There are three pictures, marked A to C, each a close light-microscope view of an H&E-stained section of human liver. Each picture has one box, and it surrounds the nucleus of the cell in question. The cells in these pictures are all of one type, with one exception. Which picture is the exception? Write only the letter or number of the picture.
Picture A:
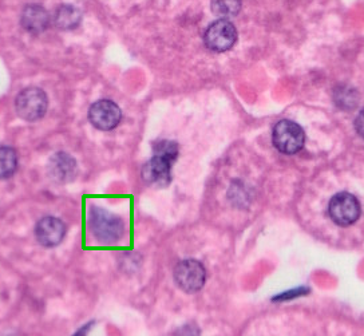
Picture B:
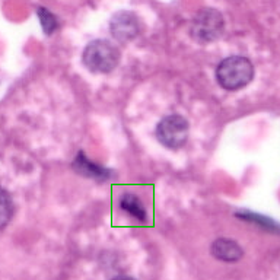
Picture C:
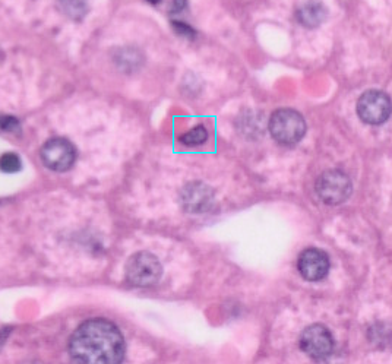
A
